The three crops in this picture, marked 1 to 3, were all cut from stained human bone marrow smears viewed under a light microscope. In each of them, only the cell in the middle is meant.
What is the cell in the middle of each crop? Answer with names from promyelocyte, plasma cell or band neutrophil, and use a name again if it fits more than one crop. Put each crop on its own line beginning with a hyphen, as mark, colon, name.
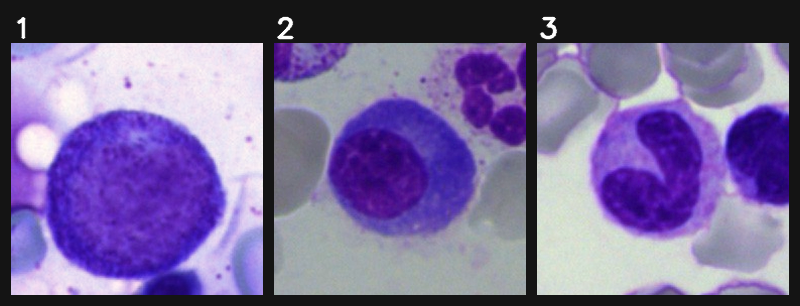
- 1: promyelocyte
- 2: plasma cell
- 3: band neutrophil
